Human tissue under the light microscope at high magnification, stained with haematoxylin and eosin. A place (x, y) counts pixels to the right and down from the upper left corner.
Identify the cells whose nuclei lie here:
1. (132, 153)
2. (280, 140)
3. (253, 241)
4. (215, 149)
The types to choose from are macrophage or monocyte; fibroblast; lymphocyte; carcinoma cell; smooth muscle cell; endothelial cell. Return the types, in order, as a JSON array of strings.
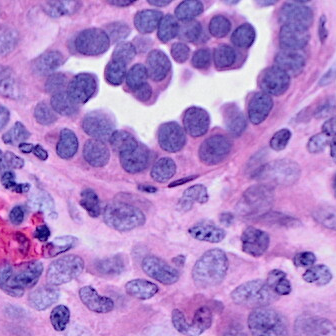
["carcinoma cell", "lymphocyte", "macrophage or monocyte", "carcinoma cell"]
